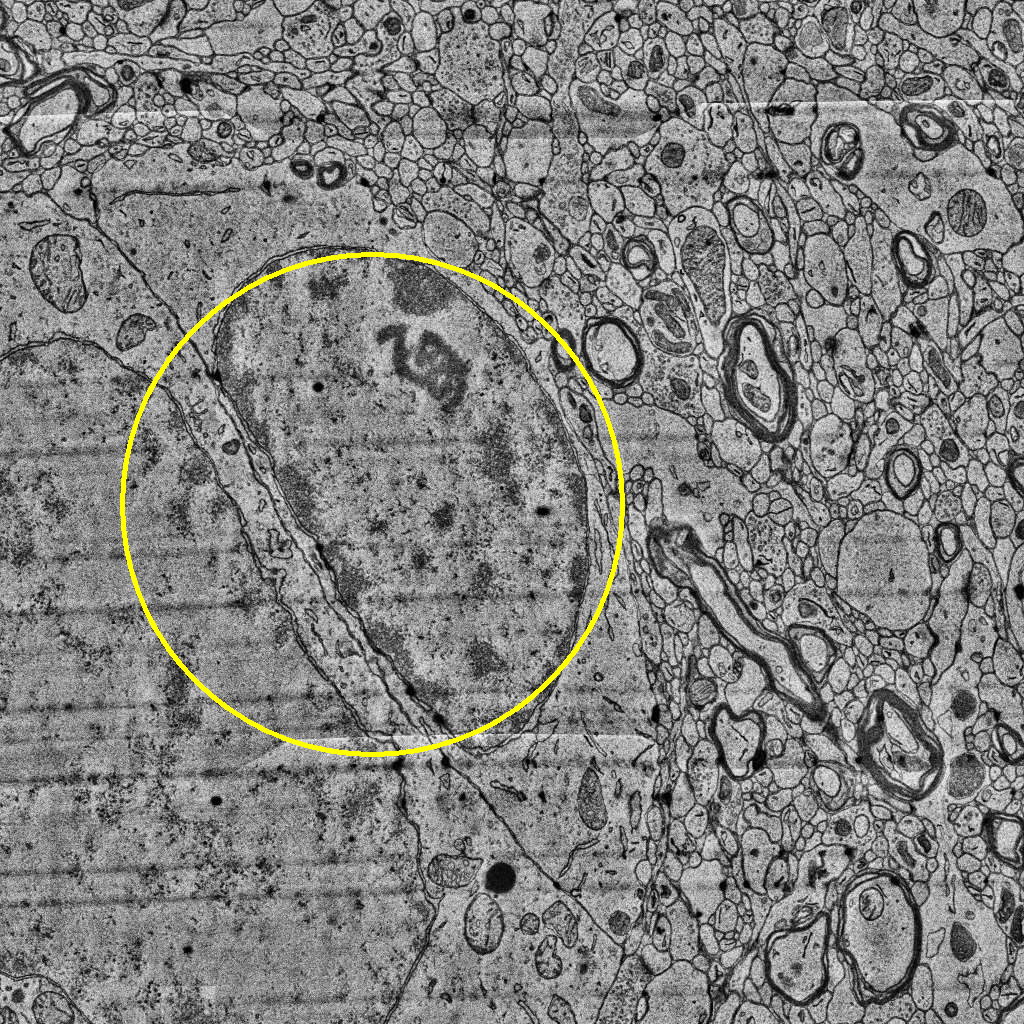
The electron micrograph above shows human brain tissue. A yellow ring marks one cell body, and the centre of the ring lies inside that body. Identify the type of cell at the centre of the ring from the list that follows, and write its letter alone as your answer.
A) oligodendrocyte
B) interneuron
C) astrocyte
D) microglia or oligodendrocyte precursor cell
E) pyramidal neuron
D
